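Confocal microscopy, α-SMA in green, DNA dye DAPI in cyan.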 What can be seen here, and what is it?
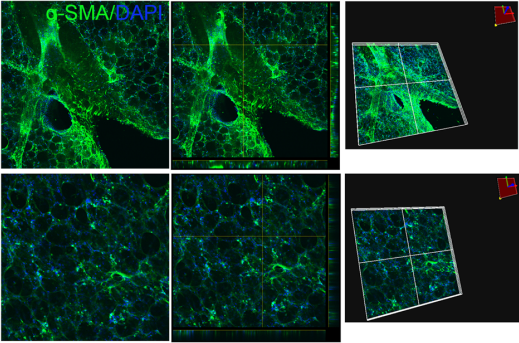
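Green fluorescence lines a lace of thin walls, and small blue nuclei sit along those walls. In the upper row the green is dense and bright, forming broad sheets and thick bands around large open spaces. In the lower row the green is fainter and thinner, tracing a finer network of small rounded spaces.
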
